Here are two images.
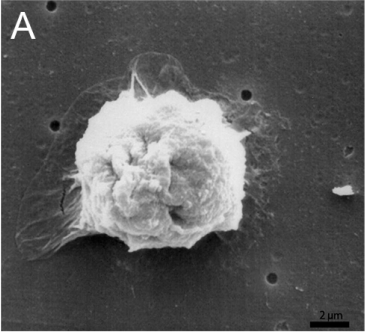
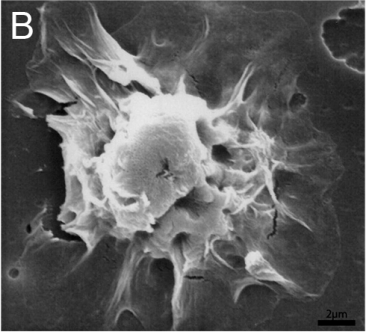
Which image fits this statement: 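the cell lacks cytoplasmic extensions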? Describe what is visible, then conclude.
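Second image: many thin extensions radiate from the cell body in all directions. First image: a compact rounded cell with only a thin membrane fringe and no long processes.
Conclusion: the first image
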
